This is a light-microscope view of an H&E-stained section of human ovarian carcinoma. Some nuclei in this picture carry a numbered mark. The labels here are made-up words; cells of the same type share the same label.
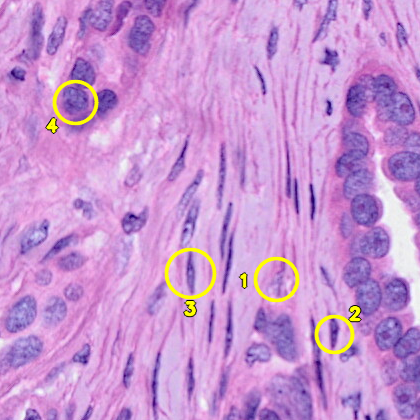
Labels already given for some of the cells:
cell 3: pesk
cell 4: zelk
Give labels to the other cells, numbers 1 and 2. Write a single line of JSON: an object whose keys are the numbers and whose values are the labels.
{"1": "pesk", "2": "pesk"}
